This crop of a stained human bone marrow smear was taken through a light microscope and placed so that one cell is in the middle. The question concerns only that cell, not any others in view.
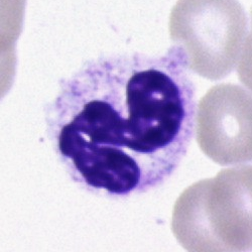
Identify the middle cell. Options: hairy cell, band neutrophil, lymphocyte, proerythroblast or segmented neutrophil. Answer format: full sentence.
The middle of this crop is occupied by a segmented neutrophil.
